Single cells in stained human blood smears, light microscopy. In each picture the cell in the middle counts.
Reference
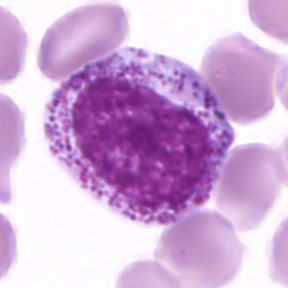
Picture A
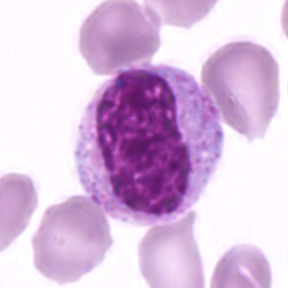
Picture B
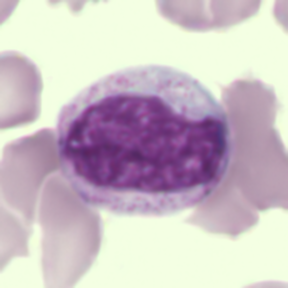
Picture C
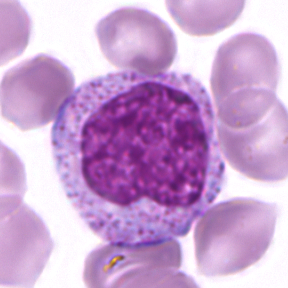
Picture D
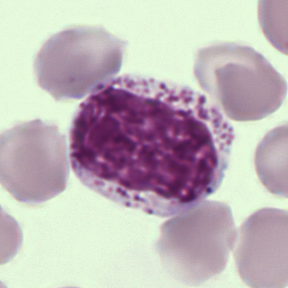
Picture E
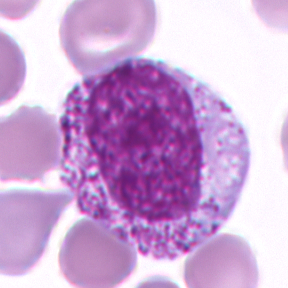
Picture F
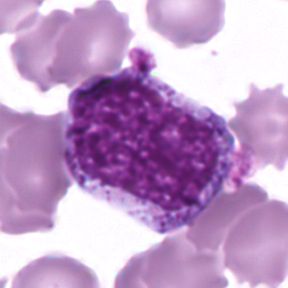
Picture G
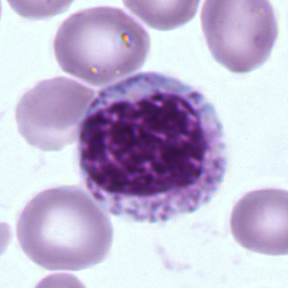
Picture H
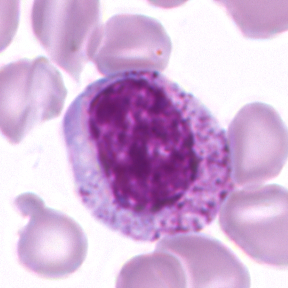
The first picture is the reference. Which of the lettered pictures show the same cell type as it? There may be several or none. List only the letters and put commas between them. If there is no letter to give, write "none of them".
C, E, F, H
